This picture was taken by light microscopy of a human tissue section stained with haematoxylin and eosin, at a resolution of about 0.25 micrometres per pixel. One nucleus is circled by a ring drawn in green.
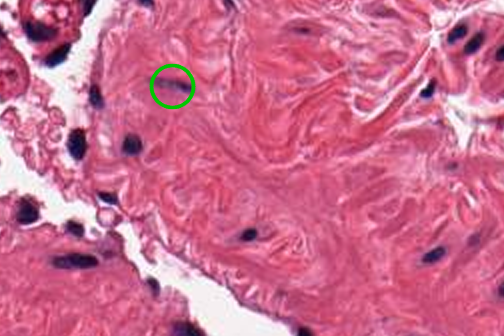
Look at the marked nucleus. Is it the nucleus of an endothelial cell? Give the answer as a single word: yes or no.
no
